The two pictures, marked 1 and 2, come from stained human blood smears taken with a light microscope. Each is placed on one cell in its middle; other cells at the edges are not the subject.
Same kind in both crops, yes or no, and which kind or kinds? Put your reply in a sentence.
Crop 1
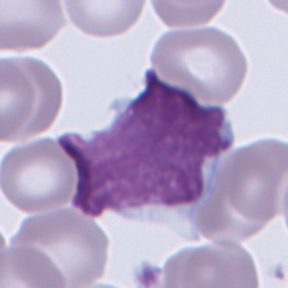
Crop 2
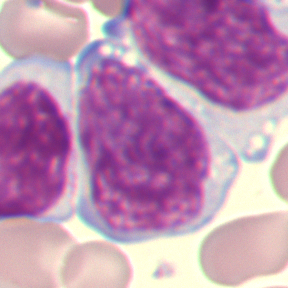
No, crop 1 contains a typical lymphocyte; a myeloblast is what crop 2 contains.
